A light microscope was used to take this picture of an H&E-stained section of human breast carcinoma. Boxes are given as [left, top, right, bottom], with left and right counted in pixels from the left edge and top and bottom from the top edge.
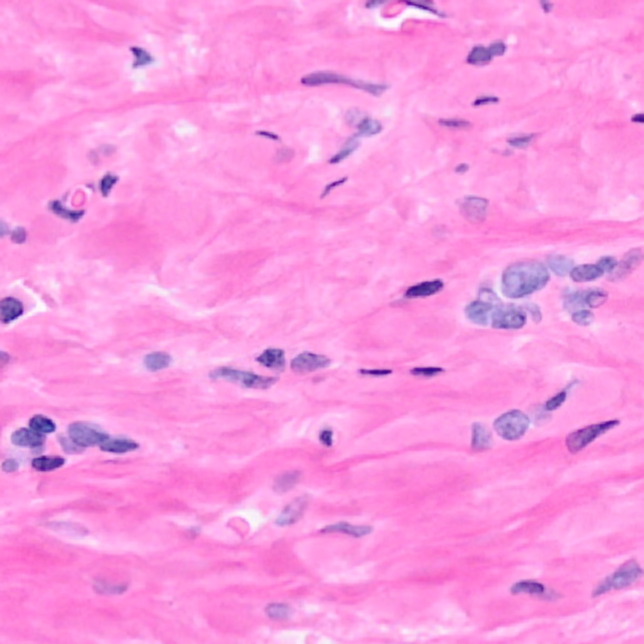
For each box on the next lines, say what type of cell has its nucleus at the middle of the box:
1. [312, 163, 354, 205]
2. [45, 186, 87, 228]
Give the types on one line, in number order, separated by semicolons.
fibroblast; endothelial cell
